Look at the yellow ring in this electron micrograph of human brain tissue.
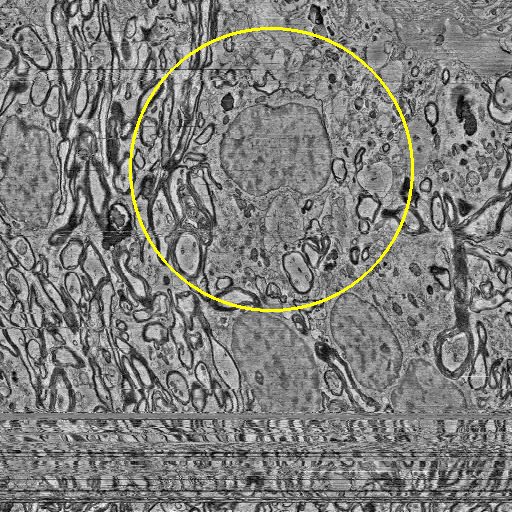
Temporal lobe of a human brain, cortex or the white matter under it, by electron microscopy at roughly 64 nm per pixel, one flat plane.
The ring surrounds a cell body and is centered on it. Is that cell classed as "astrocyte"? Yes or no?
No, it is of another kind.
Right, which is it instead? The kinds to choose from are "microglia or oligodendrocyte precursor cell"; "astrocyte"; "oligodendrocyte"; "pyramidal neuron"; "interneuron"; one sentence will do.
It is an oligodendrocyte at the centre of the ring.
